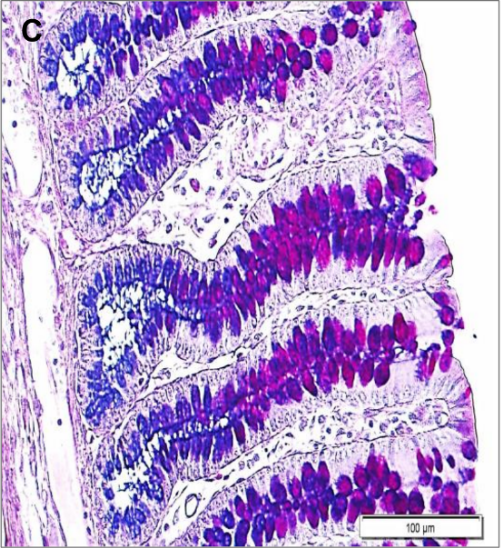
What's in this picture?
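Here colonic crypts run obliquely toward the surface on the right, crowded with goblet cells. The goblet cells near the surface and upper crypt are stained magenta to purple, and those at the crypt bases are deep blue, with frothy blue mucus in the basal lumens. Between these extremes many cells show a mixed purple tone along the length of the crypt. Pale lamina propria separates neighbouring crypts.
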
